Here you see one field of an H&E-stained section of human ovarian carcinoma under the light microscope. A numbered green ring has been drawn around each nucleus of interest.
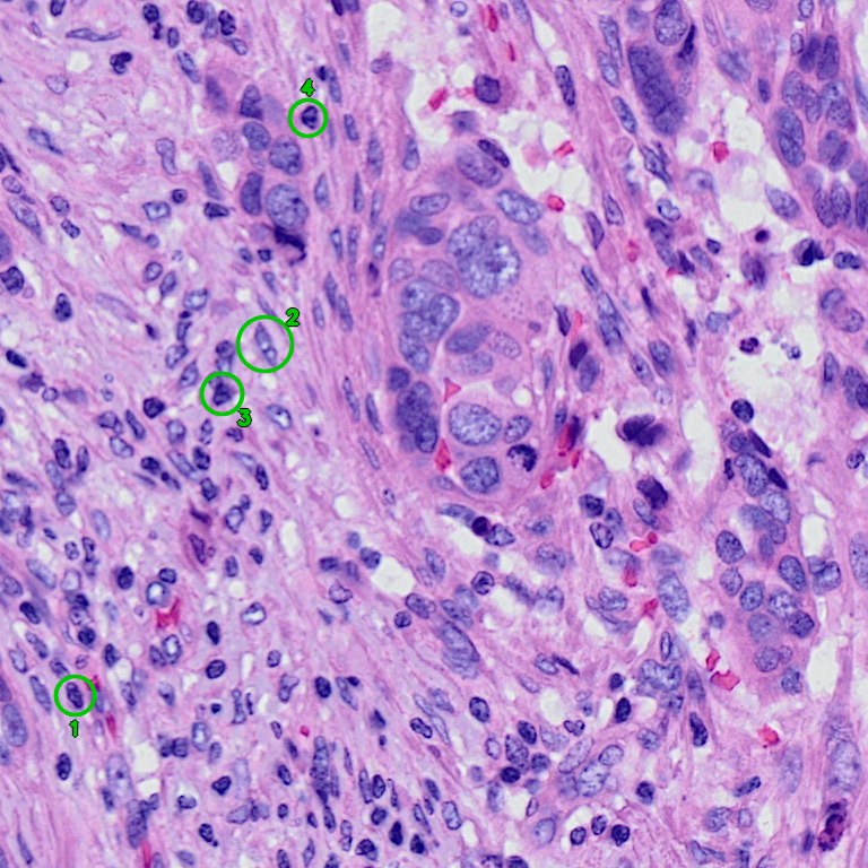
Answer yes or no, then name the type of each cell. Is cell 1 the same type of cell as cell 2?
No, cell 1 is a lymphocyte and cell 2 is a fibroblast.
